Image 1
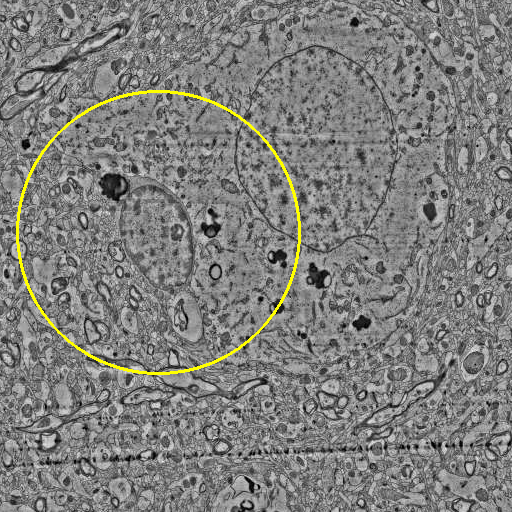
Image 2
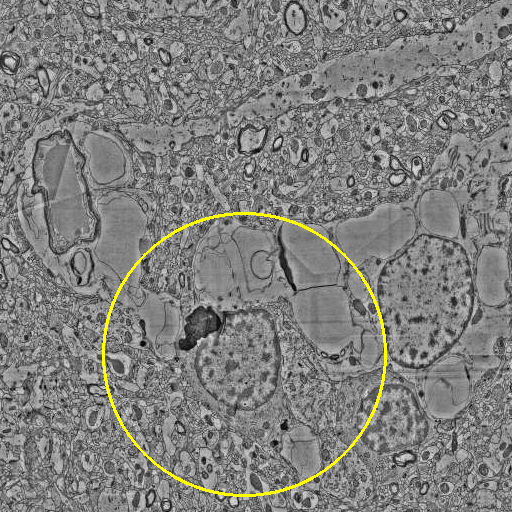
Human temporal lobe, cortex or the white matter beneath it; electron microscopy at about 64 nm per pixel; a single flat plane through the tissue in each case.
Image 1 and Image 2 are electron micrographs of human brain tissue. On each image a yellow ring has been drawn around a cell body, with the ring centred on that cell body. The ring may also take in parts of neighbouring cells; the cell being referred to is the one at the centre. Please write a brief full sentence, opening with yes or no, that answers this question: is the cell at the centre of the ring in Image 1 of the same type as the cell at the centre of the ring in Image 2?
Yes, both cells are of the same type.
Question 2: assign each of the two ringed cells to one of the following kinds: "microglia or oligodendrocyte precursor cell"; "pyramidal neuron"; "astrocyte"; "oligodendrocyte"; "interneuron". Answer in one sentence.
Each cell, in the first picture and the second, is an oligodendrocyte.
